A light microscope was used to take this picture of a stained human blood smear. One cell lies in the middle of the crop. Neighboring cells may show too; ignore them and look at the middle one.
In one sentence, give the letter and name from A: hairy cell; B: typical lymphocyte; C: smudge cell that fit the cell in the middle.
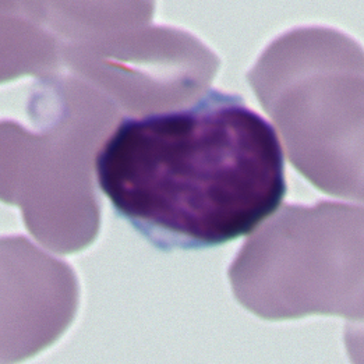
Well, the cell in the middle is a typical lymphocyte, making option B right.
